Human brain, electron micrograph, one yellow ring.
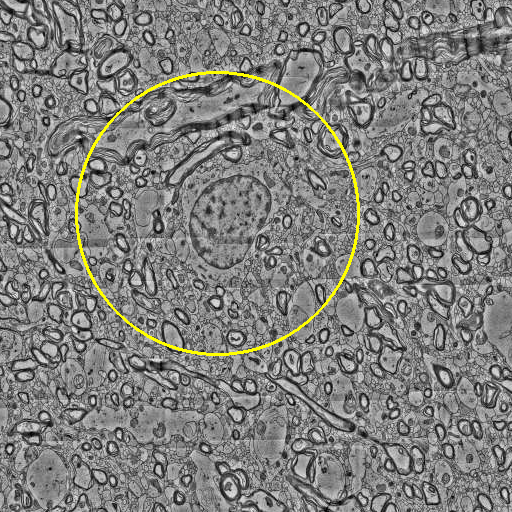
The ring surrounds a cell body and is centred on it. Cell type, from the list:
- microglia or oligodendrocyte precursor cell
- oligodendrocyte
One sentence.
The yellow ring circles a microglial cell or oligodendrocyte precursor cell.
